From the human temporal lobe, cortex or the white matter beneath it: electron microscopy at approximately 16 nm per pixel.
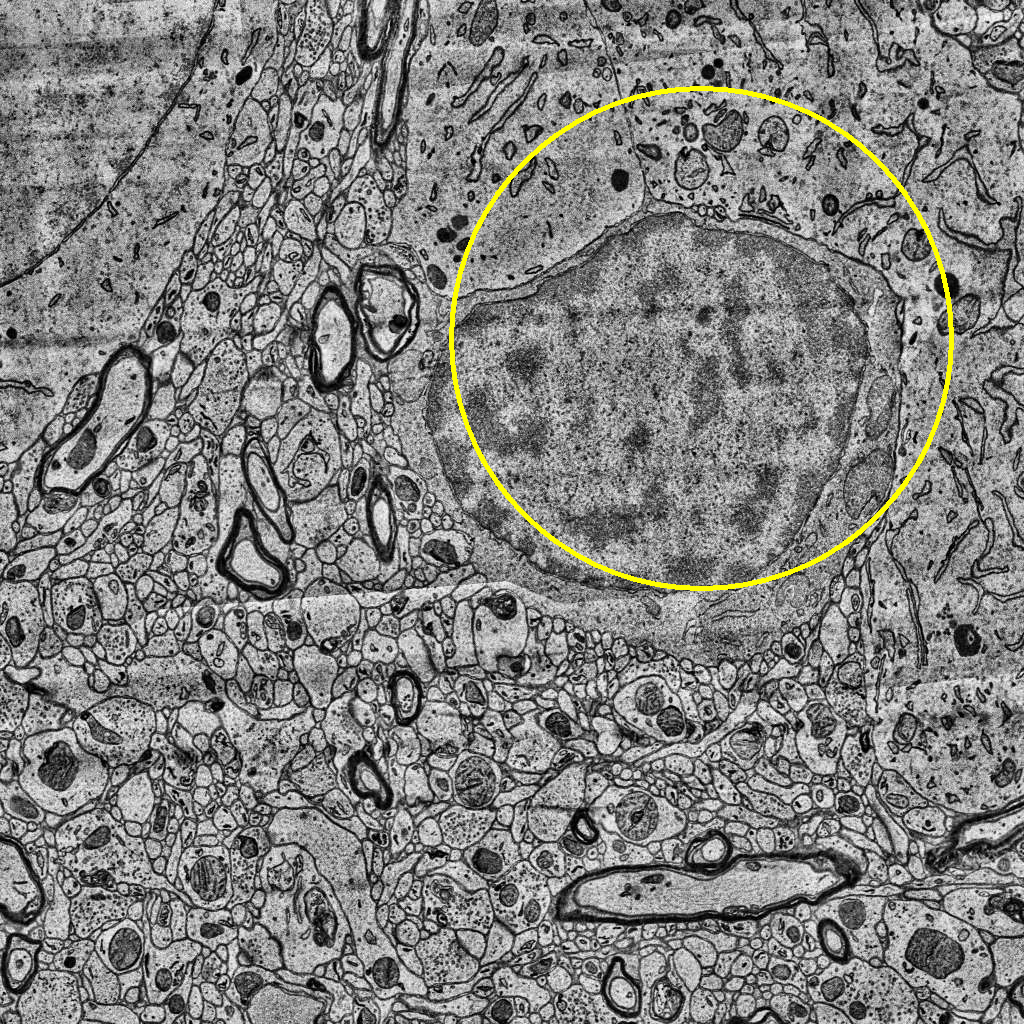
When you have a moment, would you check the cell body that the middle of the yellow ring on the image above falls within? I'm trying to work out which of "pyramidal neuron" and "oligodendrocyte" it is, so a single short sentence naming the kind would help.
This cell body belongs to an oligodendrocyte.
